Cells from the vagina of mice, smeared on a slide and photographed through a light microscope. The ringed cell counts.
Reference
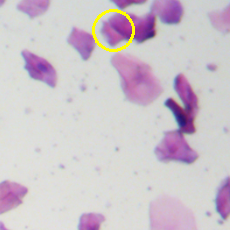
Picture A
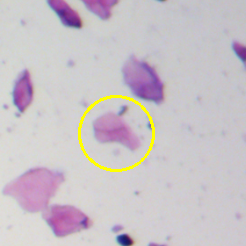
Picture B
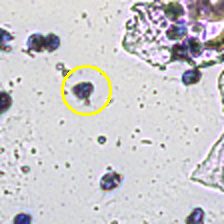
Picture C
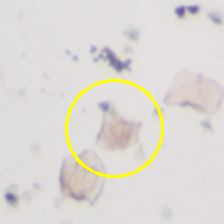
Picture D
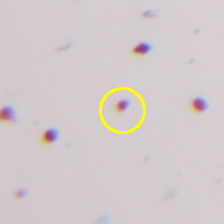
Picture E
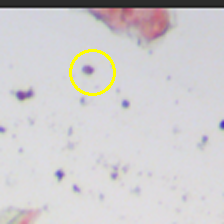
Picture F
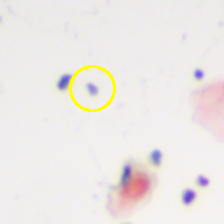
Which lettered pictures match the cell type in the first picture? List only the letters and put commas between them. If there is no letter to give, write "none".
A, C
